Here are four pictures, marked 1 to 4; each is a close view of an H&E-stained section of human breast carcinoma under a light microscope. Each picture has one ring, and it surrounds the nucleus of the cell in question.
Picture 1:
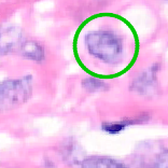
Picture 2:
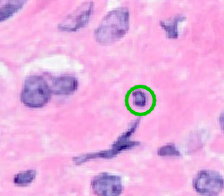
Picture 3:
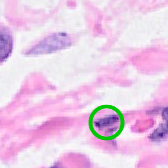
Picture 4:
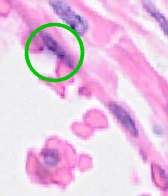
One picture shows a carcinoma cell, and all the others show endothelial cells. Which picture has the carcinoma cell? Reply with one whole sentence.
Picture 1 shows the carcinoma cell.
